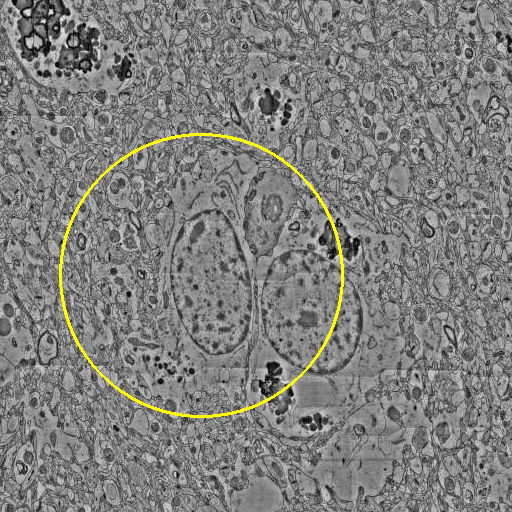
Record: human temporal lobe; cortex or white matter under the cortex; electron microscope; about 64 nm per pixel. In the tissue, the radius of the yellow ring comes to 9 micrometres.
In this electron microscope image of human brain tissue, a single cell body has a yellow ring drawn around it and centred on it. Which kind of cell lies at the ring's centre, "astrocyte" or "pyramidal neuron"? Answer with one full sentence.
It is an astrocyte whose cell body lies at the centre of the yellow ring here.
